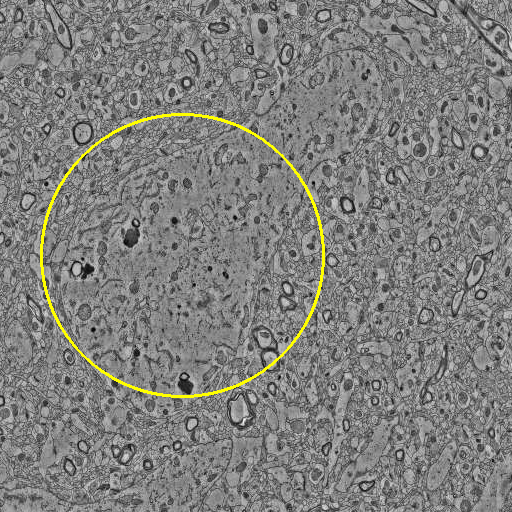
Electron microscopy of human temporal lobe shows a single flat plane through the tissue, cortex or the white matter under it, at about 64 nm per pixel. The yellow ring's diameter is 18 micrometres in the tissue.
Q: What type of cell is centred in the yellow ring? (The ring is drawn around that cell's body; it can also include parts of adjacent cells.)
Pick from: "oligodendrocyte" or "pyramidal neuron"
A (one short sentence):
The yellow ring is centred on a pyramidal neuron.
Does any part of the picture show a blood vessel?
No, none appears.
